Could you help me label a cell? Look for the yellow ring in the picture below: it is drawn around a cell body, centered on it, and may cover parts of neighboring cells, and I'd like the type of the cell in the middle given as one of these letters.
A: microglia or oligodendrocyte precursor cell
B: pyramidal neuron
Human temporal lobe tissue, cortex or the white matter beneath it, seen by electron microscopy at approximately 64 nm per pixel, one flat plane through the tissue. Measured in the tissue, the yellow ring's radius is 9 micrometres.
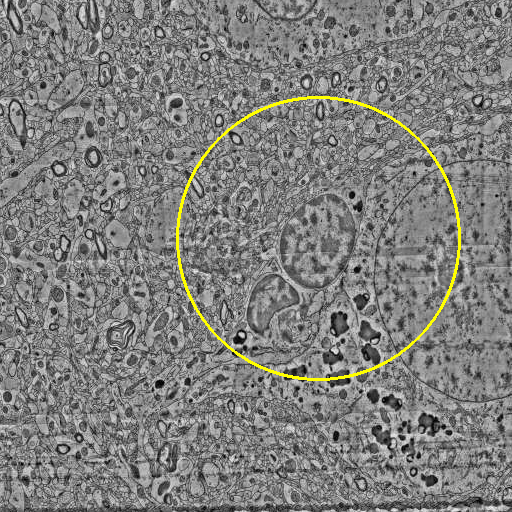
A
